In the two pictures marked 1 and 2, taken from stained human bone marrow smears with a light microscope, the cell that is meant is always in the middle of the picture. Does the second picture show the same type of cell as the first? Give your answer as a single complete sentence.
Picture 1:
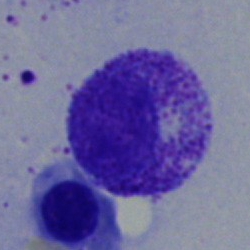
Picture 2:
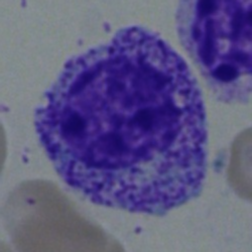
Yes; the cells in both pictures are myelocytes.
